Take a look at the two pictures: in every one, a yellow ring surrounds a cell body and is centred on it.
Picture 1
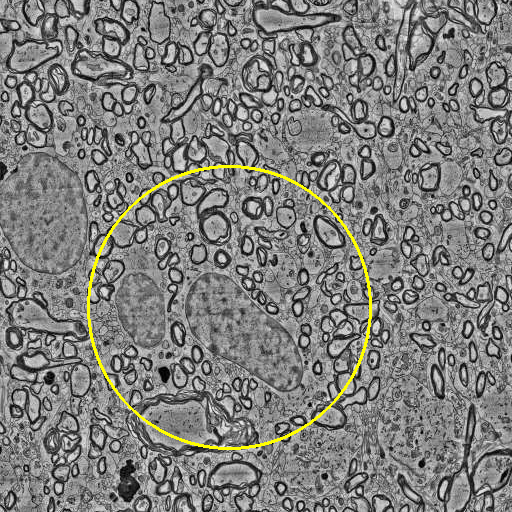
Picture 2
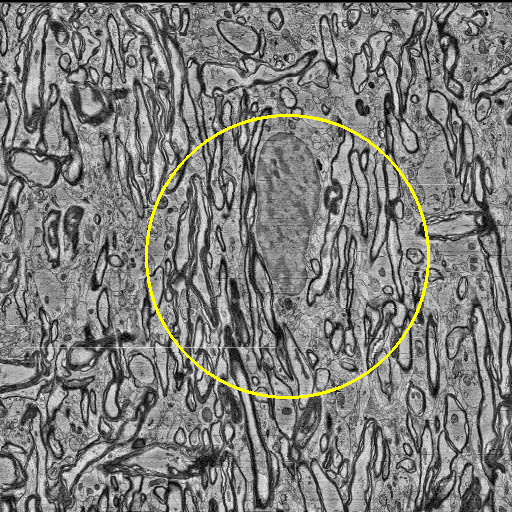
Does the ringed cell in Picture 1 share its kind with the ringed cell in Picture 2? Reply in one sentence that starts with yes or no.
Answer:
No, the two centred cells, one per picture, are of two kinds.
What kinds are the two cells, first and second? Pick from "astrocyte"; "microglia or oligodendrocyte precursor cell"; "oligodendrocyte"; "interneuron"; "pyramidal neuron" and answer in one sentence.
The second picture holds an oligodendrocyte in its ring, and the first holds a microglial cell or oligodendrocyte precursor cell.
